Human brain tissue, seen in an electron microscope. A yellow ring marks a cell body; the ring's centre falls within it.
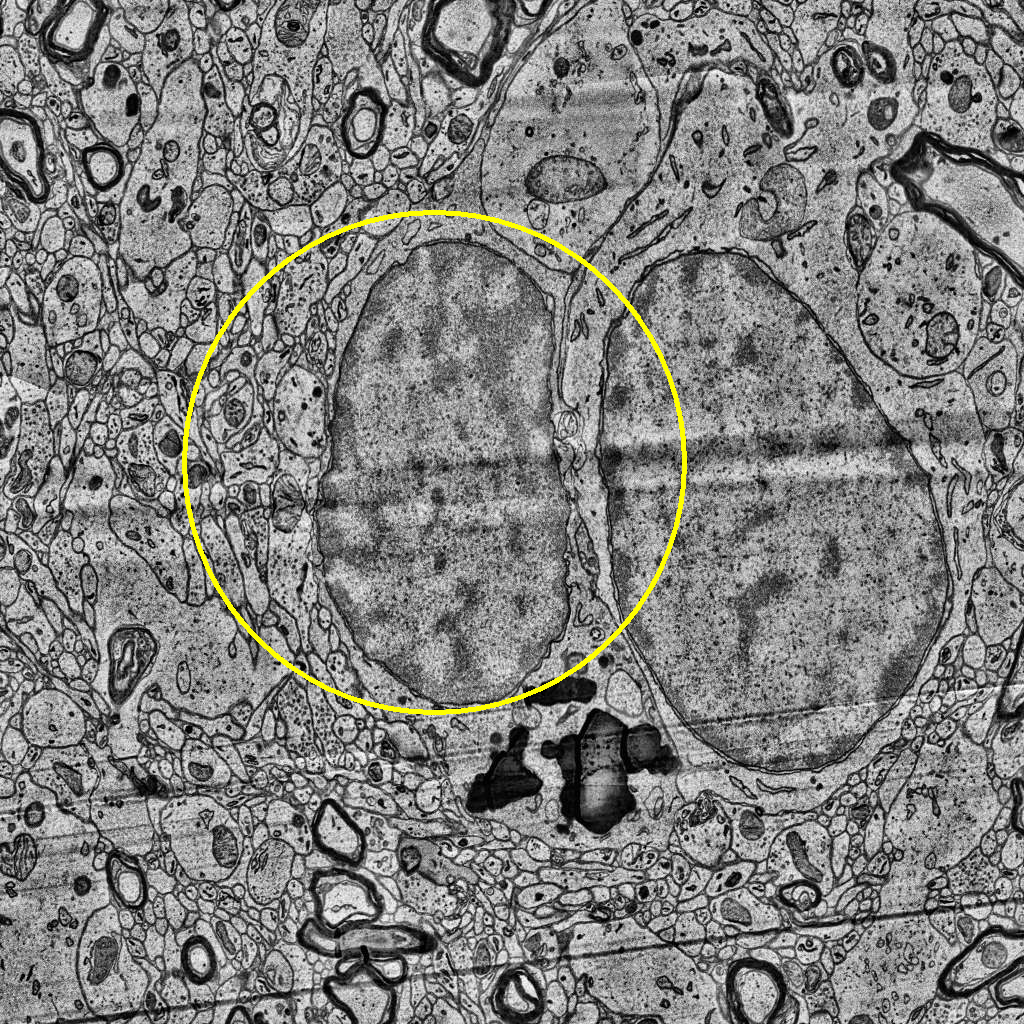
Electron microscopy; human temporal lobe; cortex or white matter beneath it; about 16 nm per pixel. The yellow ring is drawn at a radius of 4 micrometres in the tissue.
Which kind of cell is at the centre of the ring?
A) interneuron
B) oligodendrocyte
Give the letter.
B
